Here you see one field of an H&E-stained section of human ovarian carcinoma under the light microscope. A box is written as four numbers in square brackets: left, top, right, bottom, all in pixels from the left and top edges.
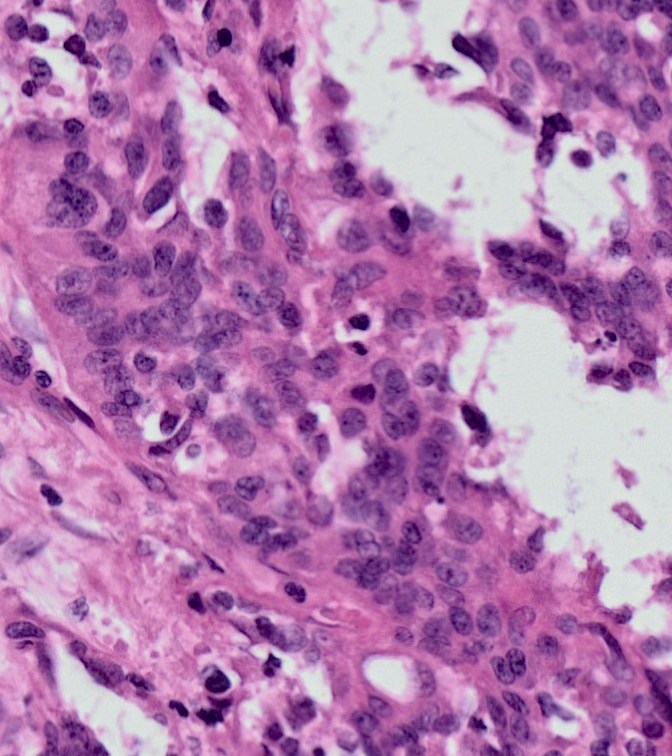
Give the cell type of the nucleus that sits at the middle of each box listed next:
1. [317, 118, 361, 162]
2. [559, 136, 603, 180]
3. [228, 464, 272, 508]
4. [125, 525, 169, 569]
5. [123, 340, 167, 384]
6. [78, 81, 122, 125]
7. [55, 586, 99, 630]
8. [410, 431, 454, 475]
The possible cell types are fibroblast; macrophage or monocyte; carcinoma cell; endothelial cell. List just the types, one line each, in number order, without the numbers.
carcinoma cell
carcinoma cell
macrophage or monocyte
fibroblast
macrophage or monocyte
macrophage or monocyte
macrophage or monocyte
carcinoma cell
